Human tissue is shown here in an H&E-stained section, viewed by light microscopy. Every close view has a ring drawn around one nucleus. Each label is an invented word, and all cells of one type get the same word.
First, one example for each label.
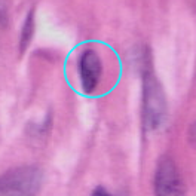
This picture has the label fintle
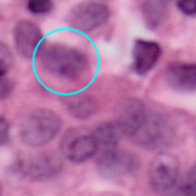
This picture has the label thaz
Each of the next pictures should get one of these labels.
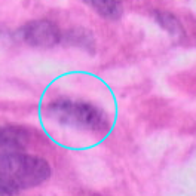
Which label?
fintle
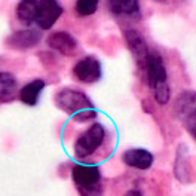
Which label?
thaz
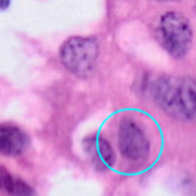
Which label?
thaz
